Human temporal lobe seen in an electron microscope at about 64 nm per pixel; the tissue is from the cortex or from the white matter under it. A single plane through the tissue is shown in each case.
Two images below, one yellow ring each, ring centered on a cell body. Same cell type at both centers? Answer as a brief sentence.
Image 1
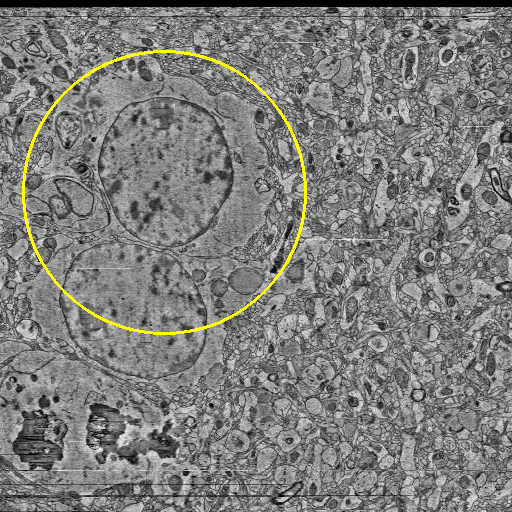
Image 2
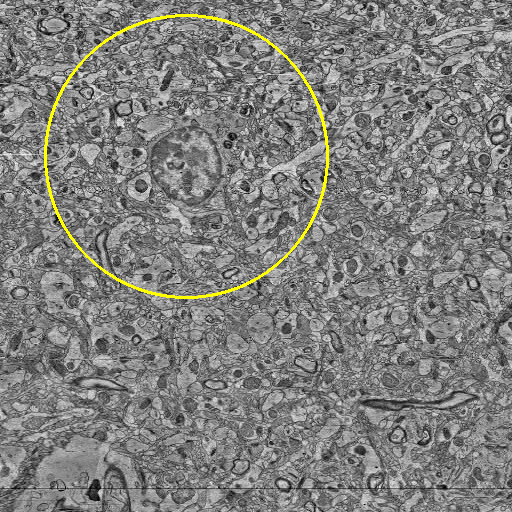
No, the cells are of two separate types.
